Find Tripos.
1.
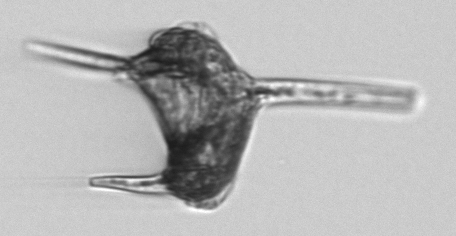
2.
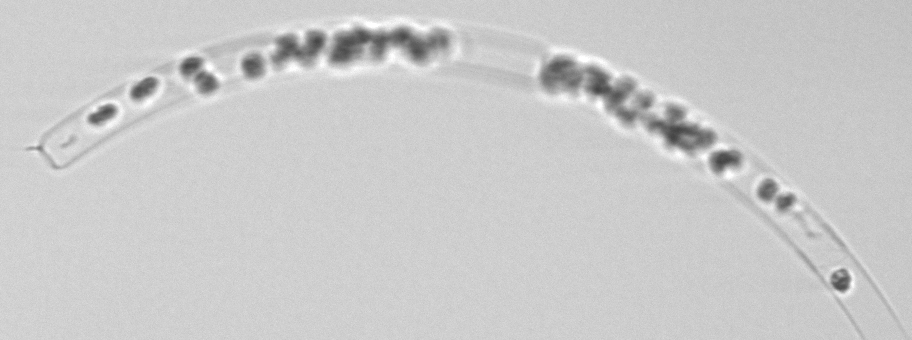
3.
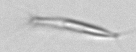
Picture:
1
